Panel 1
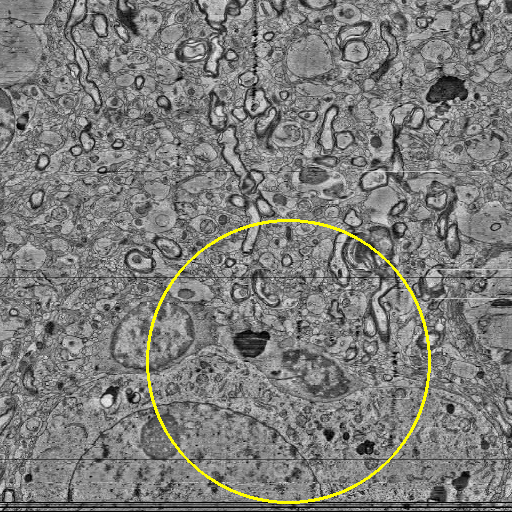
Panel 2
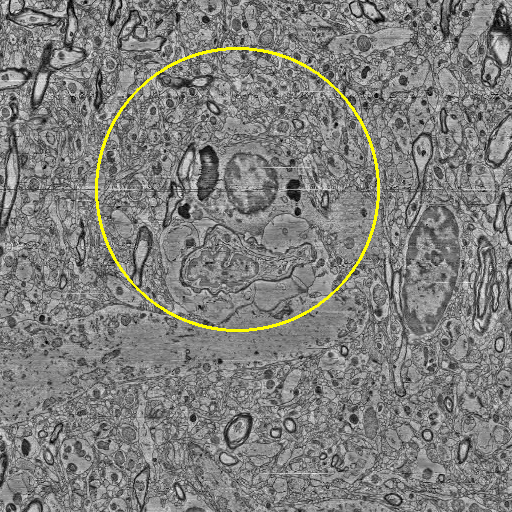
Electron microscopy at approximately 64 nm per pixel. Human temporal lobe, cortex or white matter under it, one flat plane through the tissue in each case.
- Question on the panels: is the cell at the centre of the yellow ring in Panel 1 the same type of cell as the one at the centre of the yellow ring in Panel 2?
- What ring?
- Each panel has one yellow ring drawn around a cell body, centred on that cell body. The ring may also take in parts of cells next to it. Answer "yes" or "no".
yes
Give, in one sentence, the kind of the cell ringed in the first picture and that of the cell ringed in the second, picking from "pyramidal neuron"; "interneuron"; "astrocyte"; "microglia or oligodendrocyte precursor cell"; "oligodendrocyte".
Each of the two cells is an oligodendrocyte.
